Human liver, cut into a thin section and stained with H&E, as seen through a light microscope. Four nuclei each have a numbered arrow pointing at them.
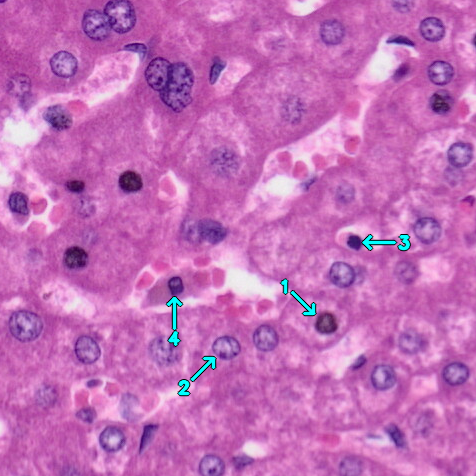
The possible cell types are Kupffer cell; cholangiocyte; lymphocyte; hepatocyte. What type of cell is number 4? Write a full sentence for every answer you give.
Cell 4, as marked in the section, is a Kupffer cell.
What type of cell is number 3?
The cell assigned the number 3 is a lymphocyte.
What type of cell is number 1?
The marked nucleus 1 is that of a hepatocyte.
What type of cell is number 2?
Cell 2, as marked in the section, is a hepatocyte.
